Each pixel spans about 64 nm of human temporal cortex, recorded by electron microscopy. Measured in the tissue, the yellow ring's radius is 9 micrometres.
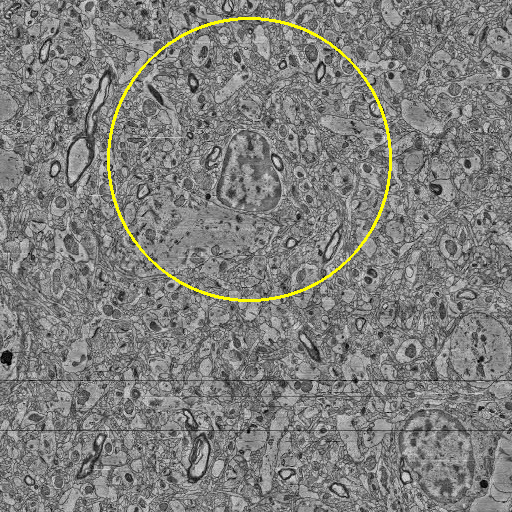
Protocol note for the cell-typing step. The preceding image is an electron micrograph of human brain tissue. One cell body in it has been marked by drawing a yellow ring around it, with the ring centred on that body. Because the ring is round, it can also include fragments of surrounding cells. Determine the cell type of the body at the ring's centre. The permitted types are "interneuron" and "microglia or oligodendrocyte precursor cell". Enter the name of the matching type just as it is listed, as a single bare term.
microglia or oligodendrocyte precursor cell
